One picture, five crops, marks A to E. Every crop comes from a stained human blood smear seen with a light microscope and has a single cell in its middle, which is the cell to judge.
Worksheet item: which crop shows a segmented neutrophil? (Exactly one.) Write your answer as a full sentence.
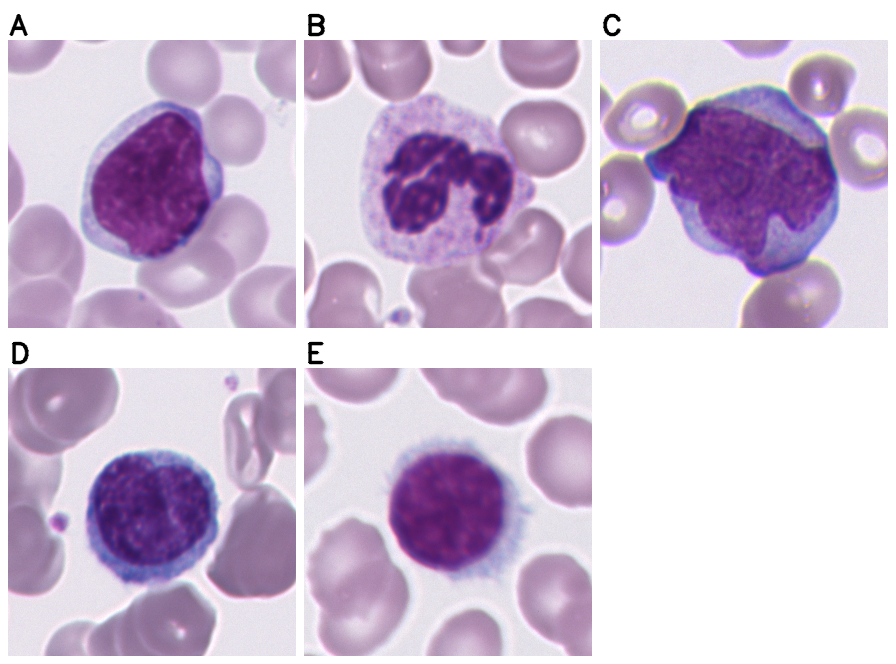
Of all the crops, crop B is the one showing a segmented neutrophil.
